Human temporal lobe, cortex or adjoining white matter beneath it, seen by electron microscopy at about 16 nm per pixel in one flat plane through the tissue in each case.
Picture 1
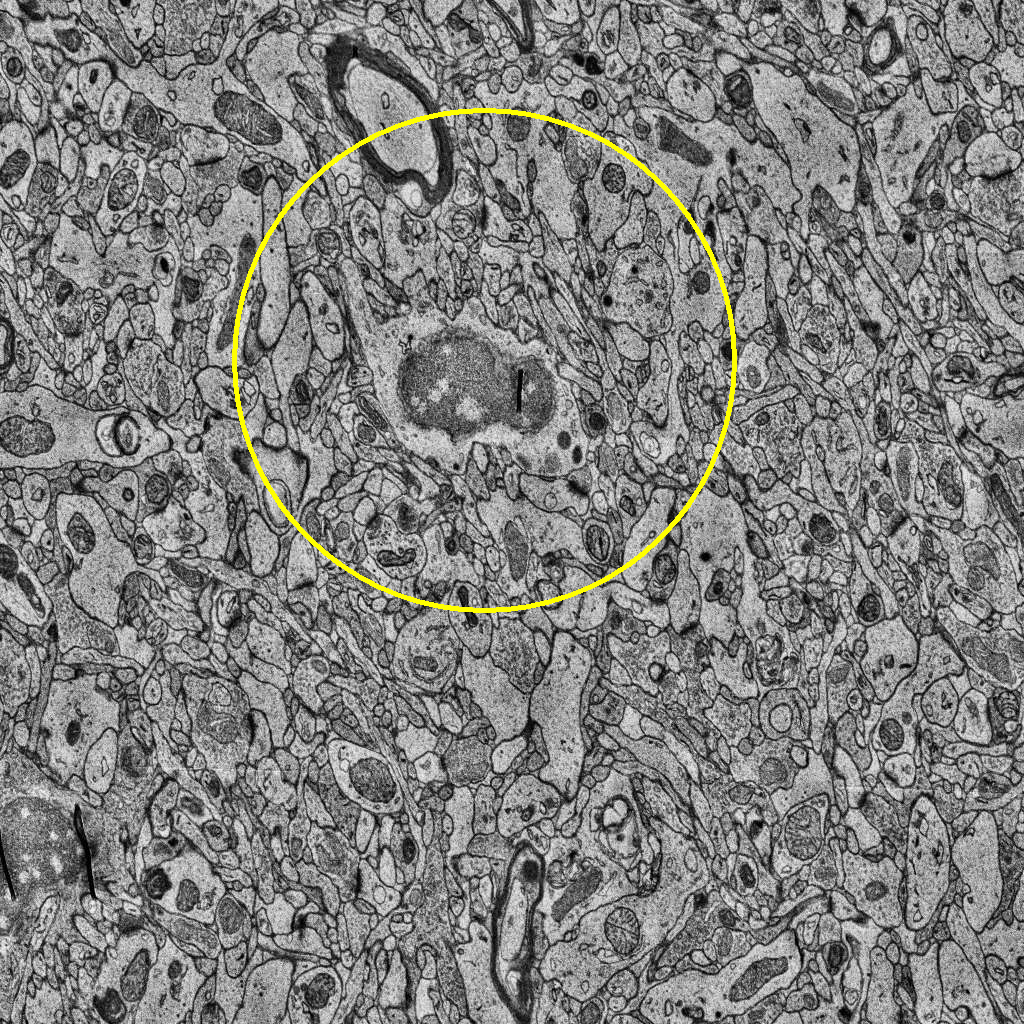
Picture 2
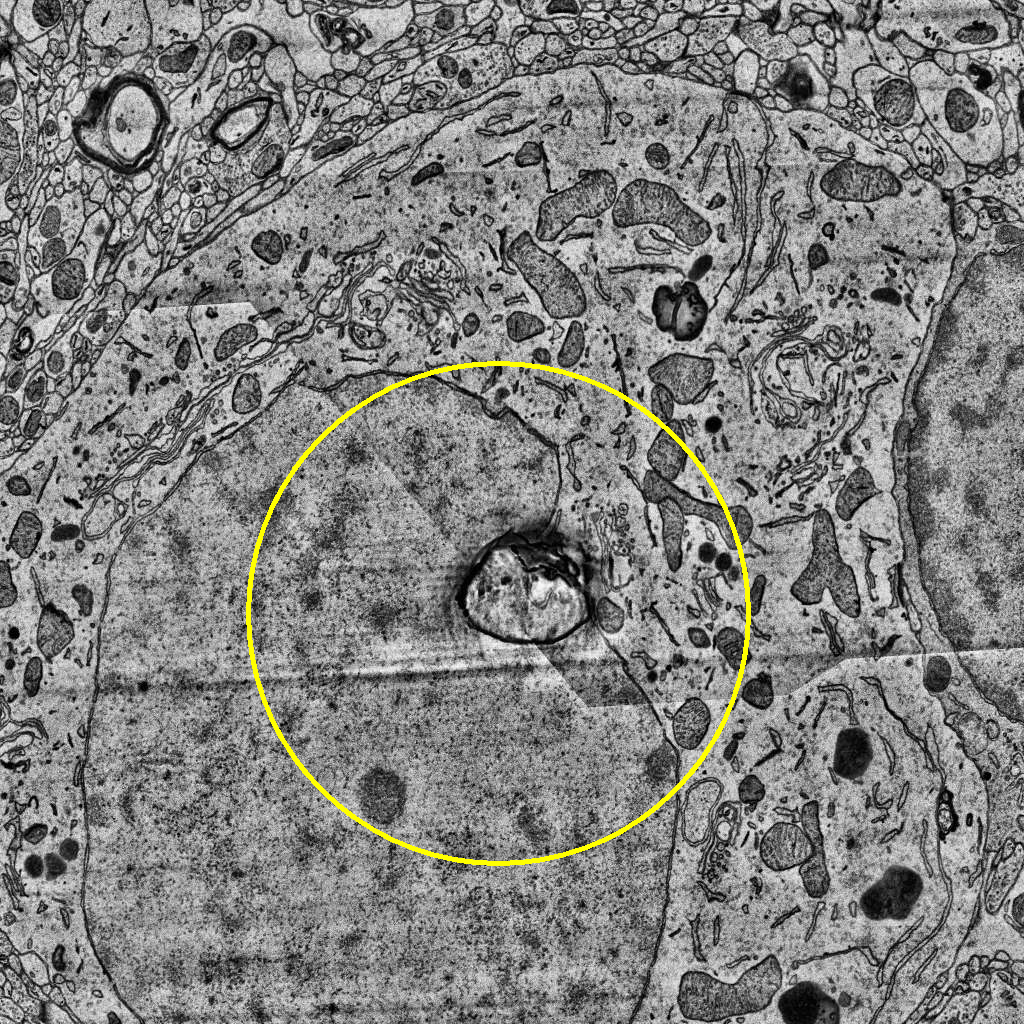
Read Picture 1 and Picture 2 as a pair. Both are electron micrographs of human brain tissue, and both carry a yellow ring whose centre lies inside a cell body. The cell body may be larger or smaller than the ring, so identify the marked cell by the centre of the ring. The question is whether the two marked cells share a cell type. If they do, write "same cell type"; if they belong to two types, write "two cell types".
two cell types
